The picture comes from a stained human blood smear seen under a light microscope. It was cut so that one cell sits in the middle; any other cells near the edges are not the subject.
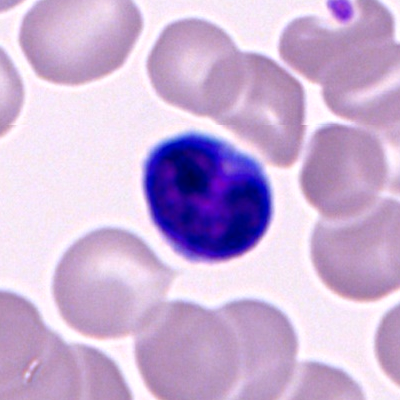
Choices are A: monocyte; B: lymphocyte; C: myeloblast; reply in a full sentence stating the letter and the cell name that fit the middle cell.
The middle of the crop contains a lymphocyte, so option B is right.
